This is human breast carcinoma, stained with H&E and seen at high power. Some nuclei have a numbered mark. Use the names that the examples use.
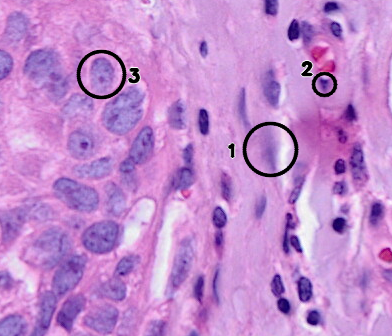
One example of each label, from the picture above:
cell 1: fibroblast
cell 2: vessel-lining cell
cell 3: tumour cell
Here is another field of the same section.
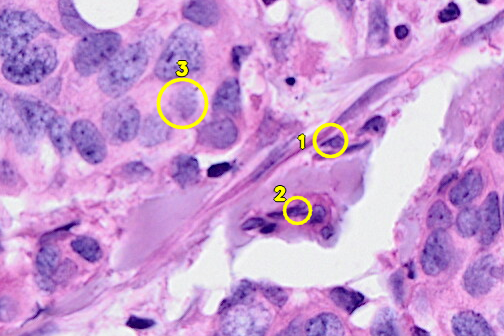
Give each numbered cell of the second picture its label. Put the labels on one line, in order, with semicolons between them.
fibroblast; vessel-lining cell; tumour cell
